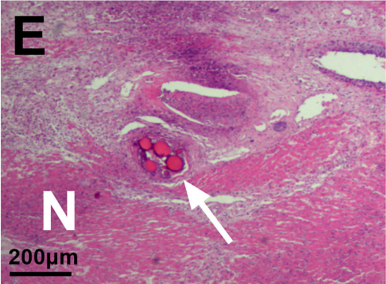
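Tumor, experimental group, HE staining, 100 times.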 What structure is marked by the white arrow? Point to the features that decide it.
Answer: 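Several round, smooth, bright red spheres of similar size lie packed together. The spheres sit within a small rounded lumen rimmed by a thin wall. That points to this answer: embolization of microspheres in blood vessels.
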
